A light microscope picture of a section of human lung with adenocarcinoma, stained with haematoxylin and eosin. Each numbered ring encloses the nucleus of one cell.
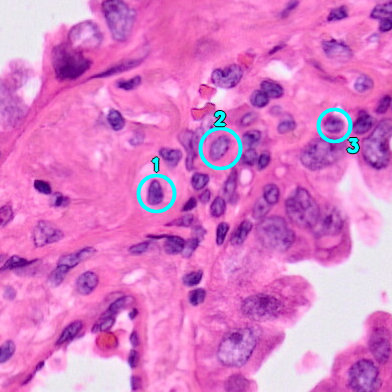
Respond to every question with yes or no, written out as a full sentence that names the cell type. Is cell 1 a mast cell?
No, cell 1 is identified not as a mast cell but as a lymphocyte.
